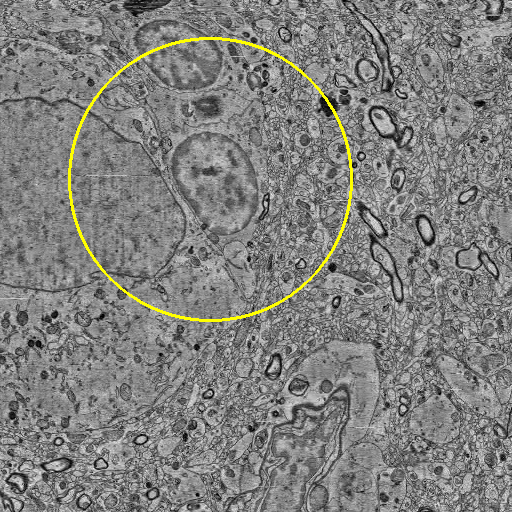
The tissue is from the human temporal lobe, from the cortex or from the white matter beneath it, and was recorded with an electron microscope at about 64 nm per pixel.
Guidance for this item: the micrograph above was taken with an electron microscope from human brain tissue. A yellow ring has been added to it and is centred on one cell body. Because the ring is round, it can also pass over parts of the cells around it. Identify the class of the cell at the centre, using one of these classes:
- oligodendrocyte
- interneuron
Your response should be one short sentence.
The ring surrounds the body of an oligodendrocyte.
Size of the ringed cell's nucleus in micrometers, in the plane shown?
Roughly 7 by 5 micrometres is the size of the nucleus in this plane.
